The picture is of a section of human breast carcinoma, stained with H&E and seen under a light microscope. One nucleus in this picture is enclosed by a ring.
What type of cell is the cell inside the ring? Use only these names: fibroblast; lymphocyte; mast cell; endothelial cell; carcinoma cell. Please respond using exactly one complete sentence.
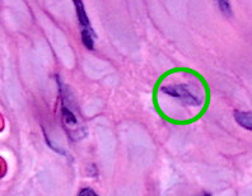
In this tissue sample, the cell inside the ring is a fibroblast.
